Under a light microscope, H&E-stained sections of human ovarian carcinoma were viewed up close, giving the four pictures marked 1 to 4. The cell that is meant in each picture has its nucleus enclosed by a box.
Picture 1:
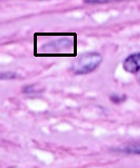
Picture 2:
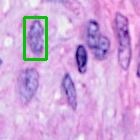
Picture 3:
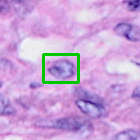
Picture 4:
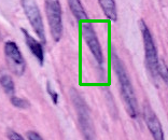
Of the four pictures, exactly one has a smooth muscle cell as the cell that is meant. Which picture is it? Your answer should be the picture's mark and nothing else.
4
